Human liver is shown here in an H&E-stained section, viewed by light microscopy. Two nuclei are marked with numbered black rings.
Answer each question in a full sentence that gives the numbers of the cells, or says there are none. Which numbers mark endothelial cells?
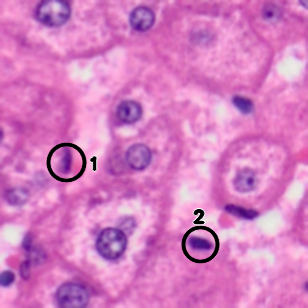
Only the cell with number 1 is an endothelial cell.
